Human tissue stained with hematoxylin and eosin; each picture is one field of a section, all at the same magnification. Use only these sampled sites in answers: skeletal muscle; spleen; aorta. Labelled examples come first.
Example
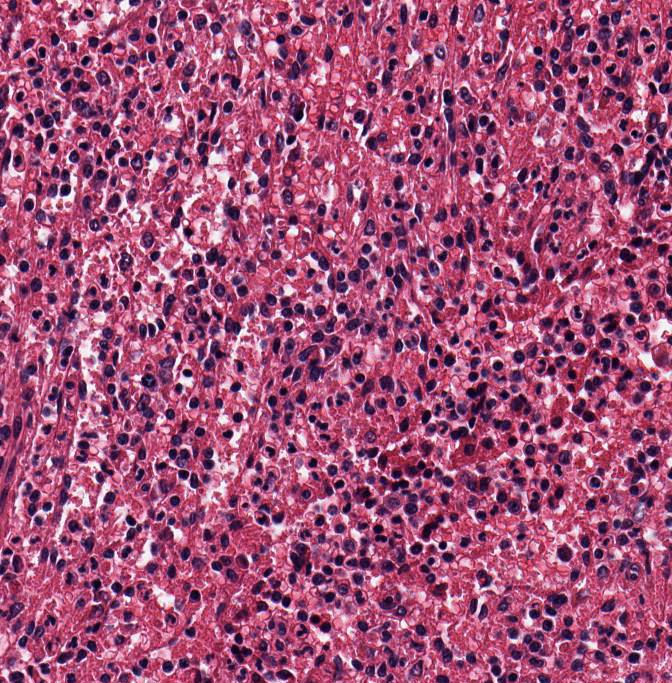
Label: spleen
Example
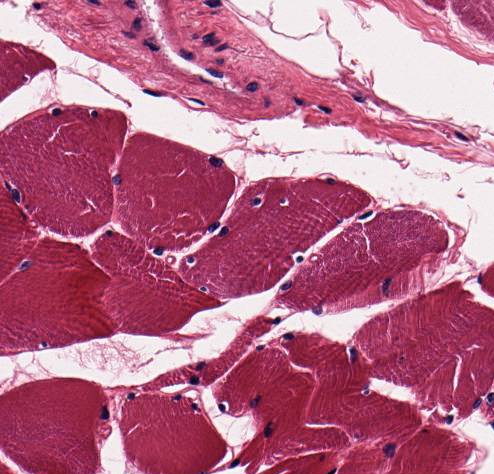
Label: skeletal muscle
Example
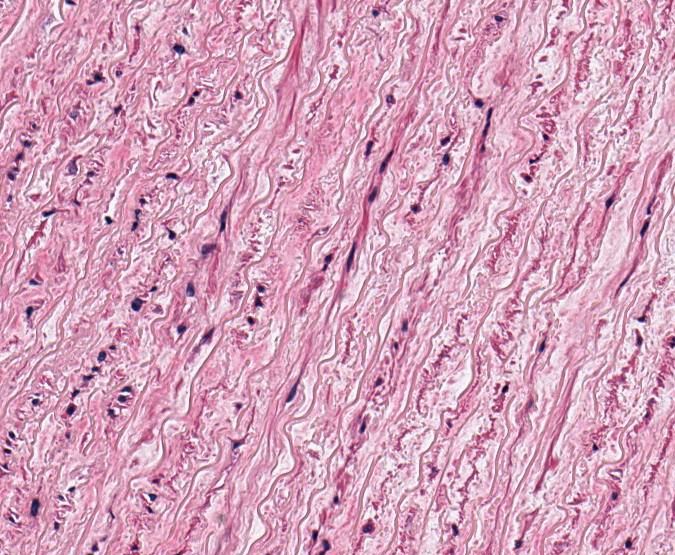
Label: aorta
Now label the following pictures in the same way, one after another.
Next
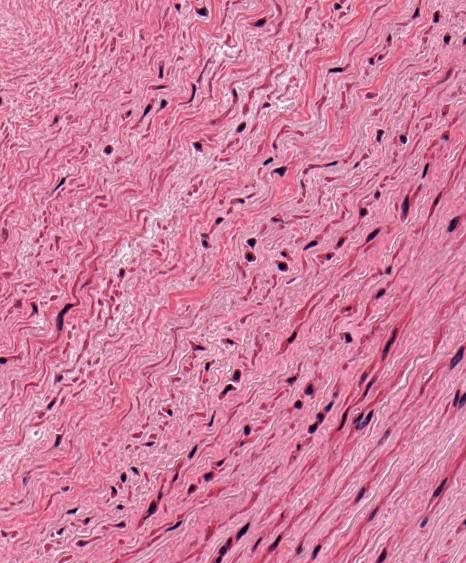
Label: aorta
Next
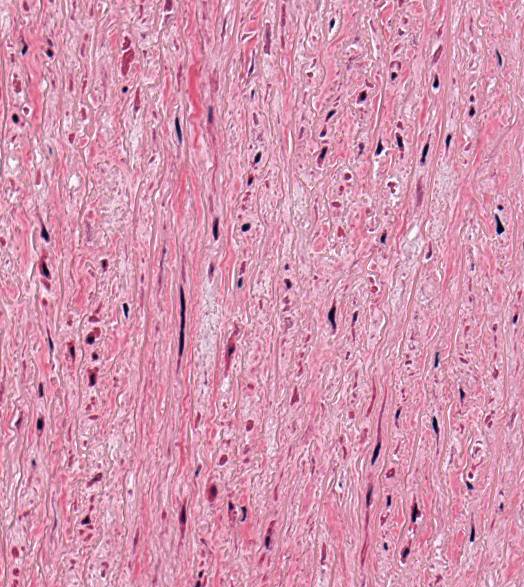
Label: aorta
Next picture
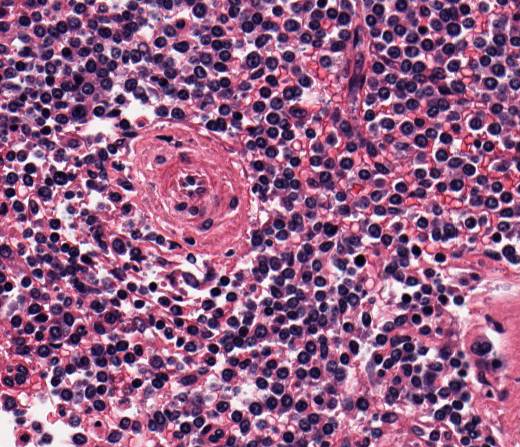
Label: spleen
